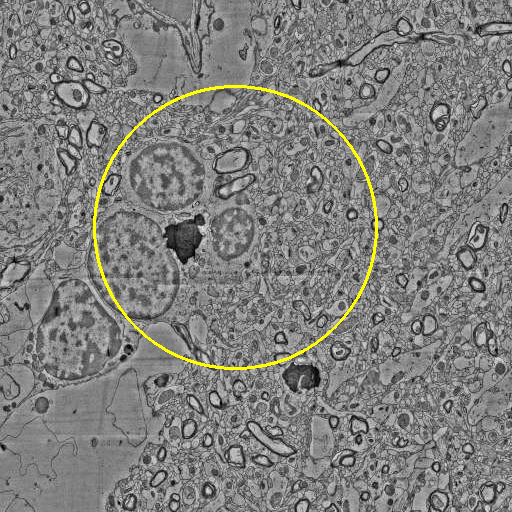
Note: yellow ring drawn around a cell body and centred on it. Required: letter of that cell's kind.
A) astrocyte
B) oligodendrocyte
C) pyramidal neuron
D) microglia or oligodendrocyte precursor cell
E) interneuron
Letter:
B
